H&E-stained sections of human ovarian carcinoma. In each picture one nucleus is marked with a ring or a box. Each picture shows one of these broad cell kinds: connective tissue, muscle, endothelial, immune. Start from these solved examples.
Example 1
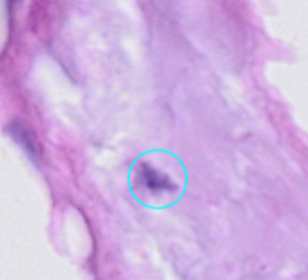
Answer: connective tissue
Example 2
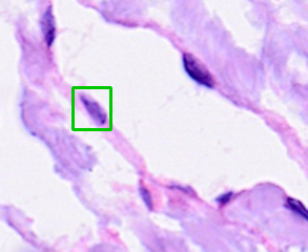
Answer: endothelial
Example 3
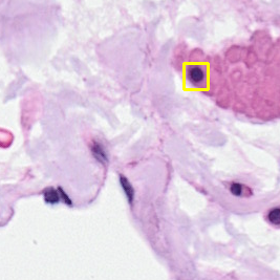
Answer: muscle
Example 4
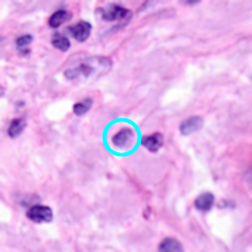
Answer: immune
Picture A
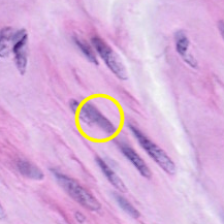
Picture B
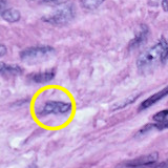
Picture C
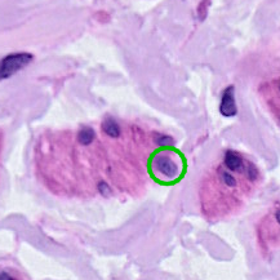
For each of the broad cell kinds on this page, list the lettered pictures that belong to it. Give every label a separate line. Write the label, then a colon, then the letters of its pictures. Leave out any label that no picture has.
connective tissue: B
muscle: A, C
